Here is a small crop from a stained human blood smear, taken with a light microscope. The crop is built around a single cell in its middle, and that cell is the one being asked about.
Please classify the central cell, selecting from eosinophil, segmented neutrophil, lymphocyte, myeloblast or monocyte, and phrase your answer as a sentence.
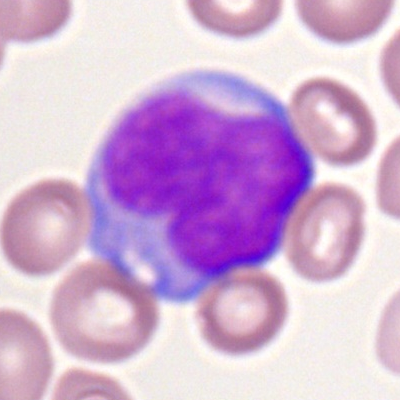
In the centre of this crop there is a myeloblast.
